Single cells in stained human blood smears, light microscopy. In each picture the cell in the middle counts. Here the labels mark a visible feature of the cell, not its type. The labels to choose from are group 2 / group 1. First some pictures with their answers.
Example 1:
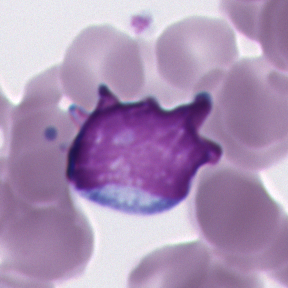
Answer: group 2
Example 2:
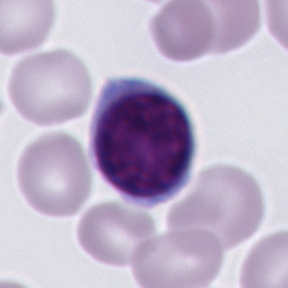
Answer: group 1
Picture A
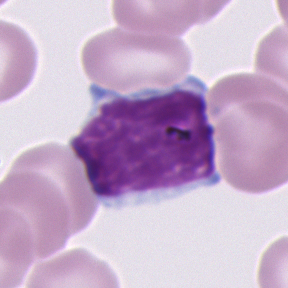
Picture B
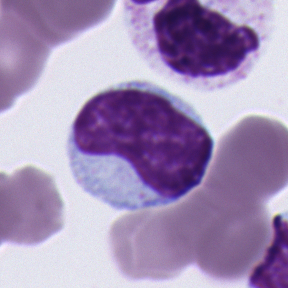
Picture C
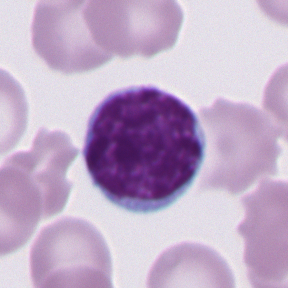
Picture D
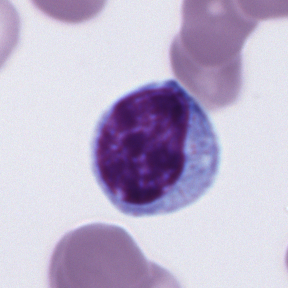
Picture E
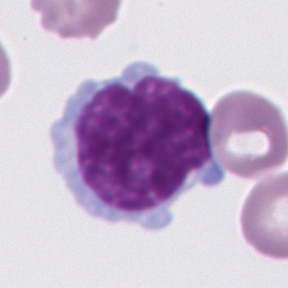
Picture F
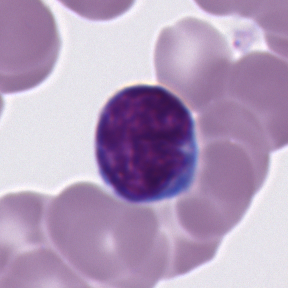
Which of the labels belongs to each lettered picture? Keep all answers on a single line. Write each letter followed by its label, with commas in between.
A group 2, B group 1, C group 1, D group 1, E group 2, F group 1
